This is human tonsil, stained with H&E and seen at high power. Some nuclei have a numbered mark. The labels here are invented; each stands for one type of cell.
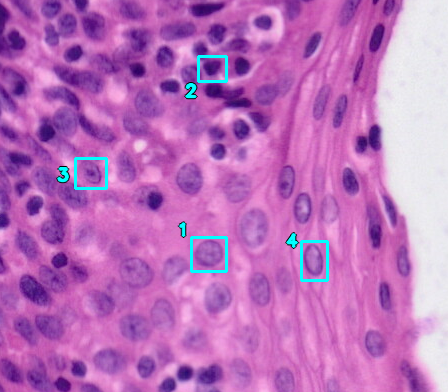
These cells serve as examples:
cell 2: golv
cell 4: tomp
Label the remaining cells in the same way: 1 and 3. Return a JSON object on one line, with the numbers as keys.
{"1": "tomp", "3": "tomp"}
